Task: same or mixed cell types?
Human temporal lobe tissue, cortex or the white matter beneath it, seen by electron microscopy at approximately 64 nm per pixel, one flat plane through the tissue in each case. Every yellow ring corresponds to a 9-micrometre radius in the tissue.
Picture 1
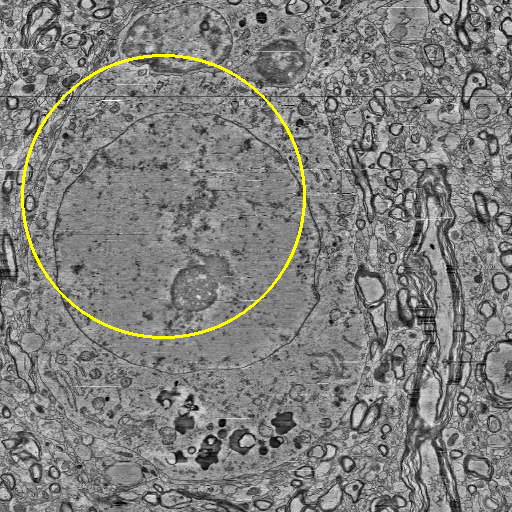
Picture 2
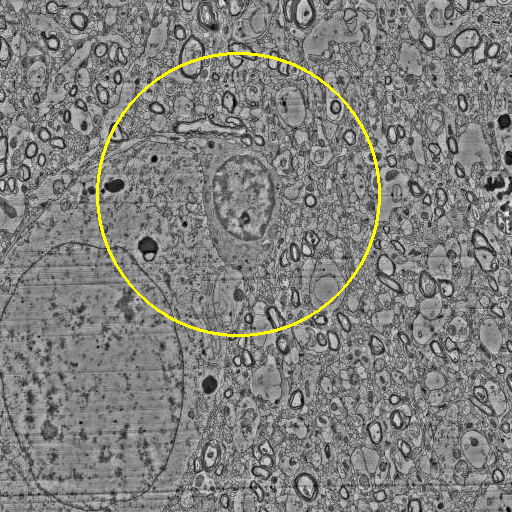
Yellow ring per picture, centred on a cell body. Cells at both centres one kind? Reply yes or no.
no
